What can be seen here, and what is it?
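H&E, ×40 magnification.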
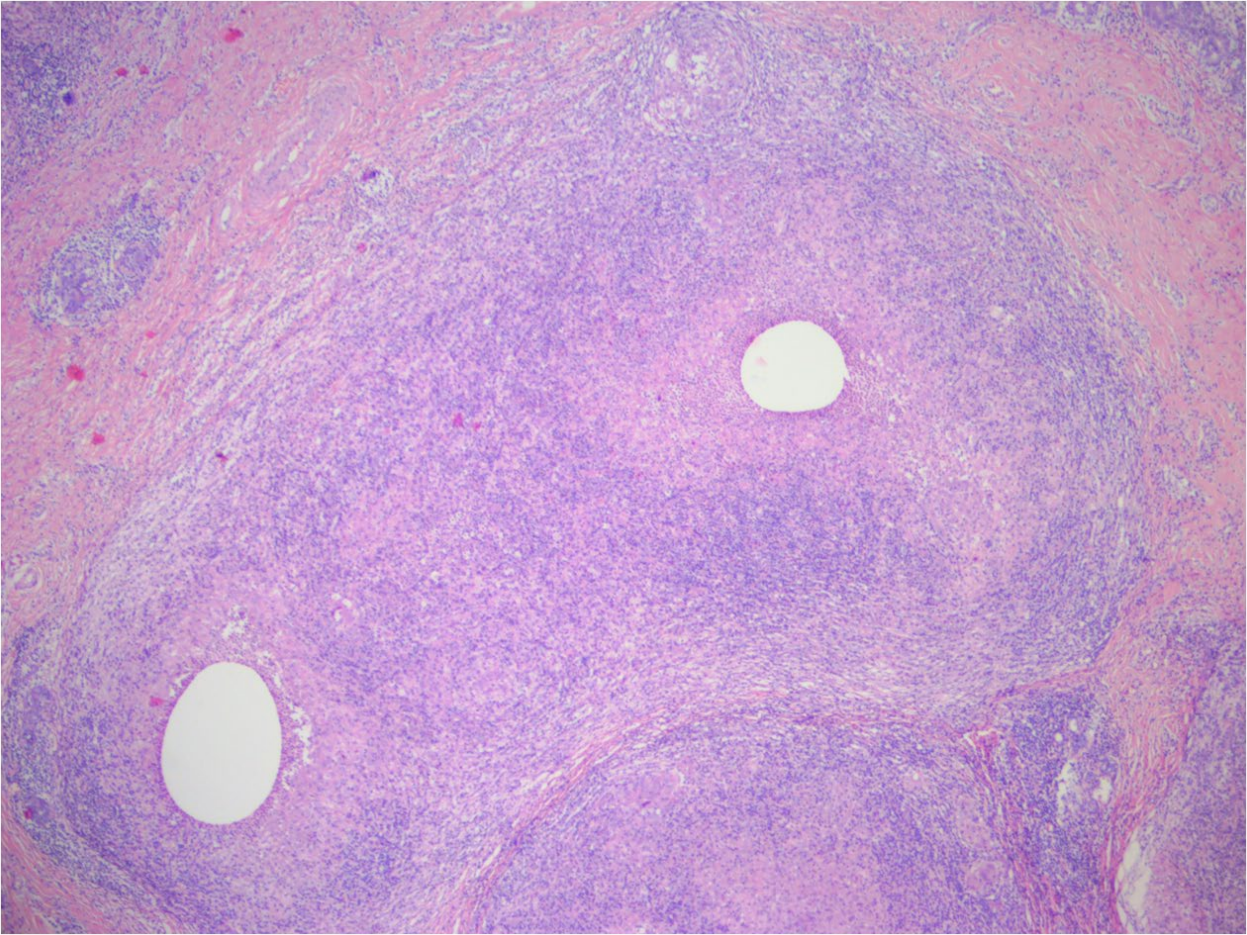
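This low-power view shows granulomatous inflammation: large, rounded nodules that partly merge with one another and replace the normal tissue structure. Within each nodule, pale pink areas of loosely packed cells with abundant cytoplasm alternate with darker blue areas of densely packed small cells. The nodules are framed by bands of pink fibrous tissue, which also run between smaller clusters of dark blue cells at the edges of the field.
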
